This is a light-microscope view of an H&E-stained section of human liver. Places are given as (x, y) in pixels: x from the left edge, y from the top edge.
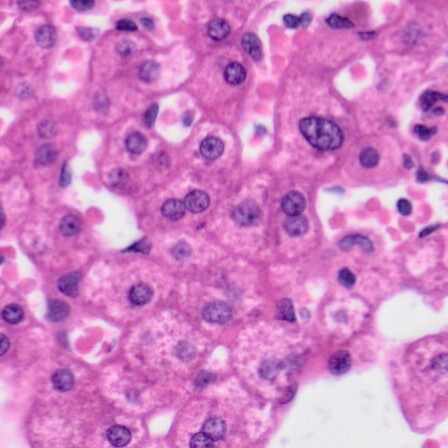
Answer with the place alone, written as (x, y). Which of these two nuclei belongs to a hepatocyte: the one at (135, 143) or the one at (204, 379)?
(135, 143)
